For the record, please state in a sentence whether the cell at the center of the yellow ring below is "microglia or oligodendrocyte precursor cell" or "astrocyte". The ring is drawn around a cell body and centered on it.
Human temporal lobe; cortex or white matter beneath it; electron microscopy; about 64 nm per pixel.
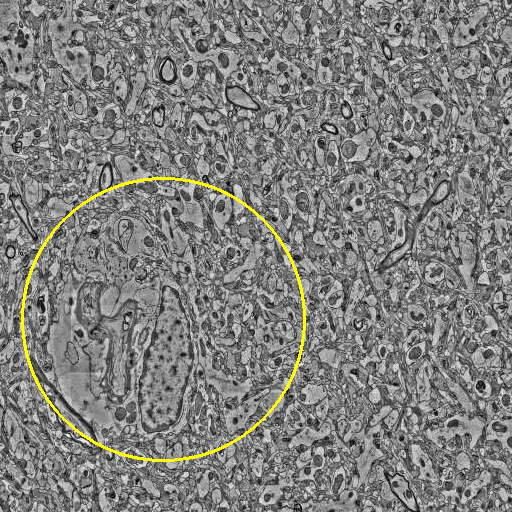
The cell at the ring's center is a microglial cell or oligodendrocyte precursor cell.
